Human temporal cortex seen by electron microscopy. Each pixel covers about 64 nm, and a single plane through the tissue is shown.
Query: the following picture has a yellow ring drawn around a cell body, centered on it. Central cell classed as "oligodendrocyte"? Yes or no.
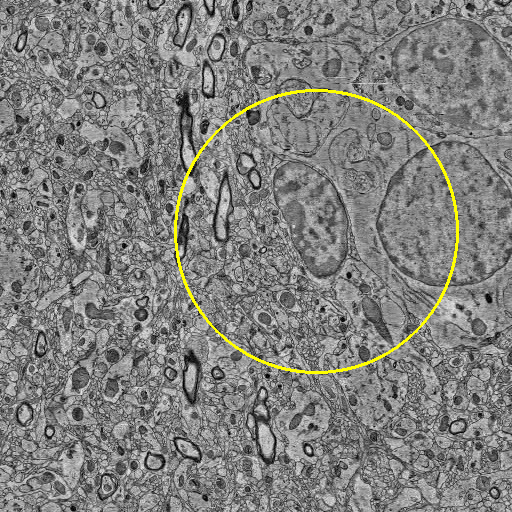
no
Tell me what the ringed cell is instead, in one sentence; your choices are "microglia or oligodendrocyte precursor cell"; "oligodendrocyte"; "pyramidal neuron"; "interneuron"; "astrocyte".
Instead, the cell at the centre of the yellow ring is a microglial cell or oligodendrocyte precursor cell.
